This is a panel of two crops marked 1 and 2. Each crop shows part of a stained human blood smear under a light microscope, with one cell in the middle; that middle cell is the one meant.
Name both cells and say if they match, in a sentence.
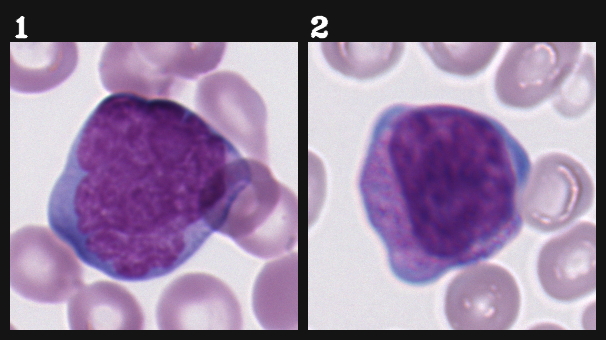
No, the labels go like this: crop 1 is a myeloblast and crop 2 is an atypical promyelocyte.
